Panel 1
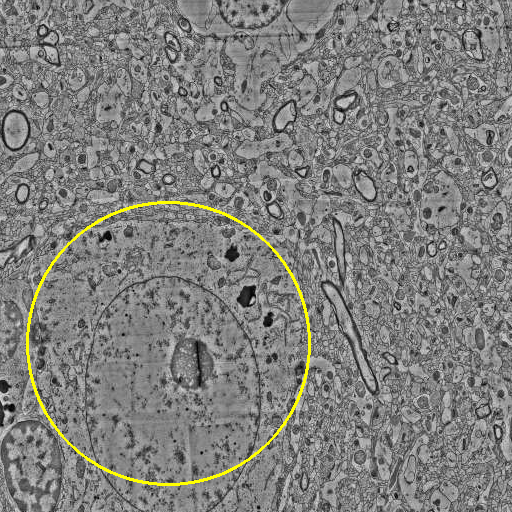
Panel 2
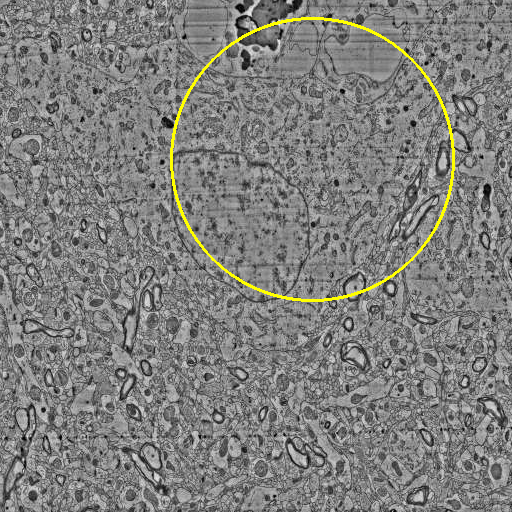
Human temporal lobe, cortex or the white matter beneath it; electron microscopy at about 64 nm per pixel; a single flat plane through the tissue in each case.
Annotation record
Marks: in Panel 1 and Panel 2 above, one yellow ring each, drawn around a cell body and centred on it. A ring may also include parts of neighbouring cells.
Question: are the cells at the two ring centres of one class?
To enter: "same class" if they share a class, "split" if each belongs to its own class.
split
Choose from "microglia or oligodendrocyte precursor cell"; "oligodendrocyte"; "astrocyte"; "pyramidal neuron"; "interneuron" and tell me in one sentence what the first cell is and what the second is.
What the first ring is centred on is a pyramidal neuron; what the second ring is centred on is an oligodendrocyte.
